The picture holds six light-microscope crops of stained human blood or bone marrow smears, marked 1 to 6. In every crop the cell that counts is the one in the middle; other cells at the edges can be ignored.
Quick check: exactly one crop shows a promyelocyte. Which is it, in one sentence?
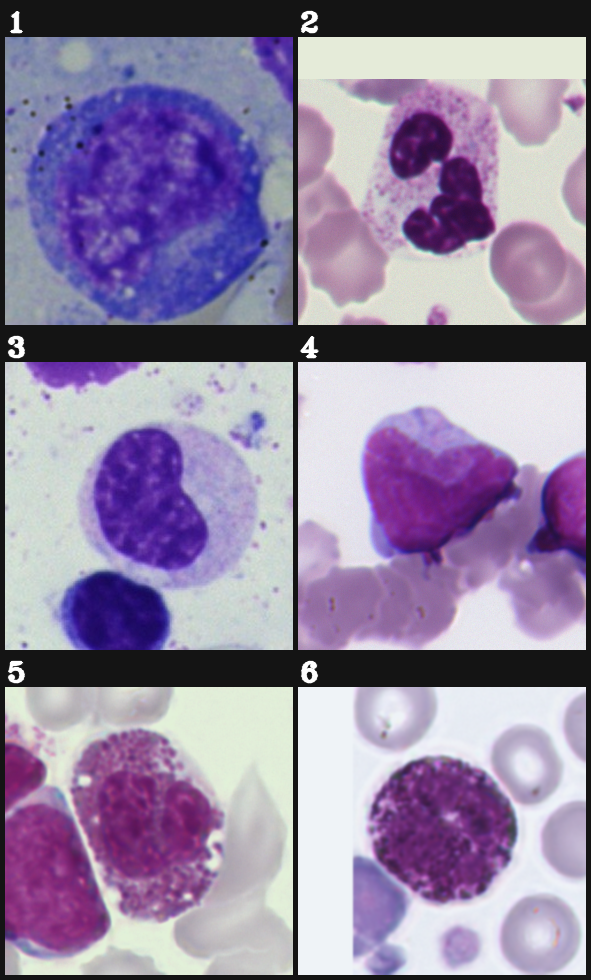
Of the labelled crops, the one that shows a promyelocyte is crop 1.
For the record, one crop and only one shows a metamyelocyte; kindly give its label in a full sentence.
Of the labelled crops, the one that shows a metamyelocyte is crop 3.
